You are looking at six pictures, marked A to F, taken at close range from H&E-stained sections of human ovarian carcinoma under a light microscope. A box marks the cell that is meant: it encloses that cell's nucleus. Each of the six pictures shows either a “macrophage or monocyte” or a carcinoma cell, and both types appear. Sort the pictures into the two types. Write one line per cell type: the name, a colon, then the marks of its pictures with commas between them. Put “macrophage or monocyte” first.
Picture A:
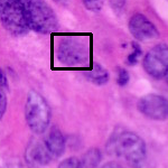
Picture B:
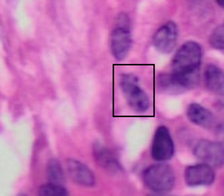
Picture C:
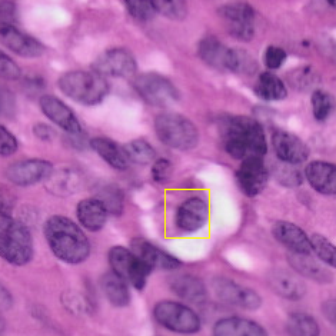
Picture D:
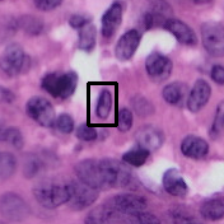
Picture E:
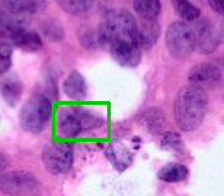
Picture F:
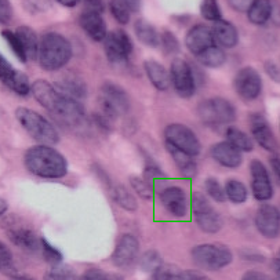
macrophage or monocyte: B, C, D
carcinoma cell: A, E, F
